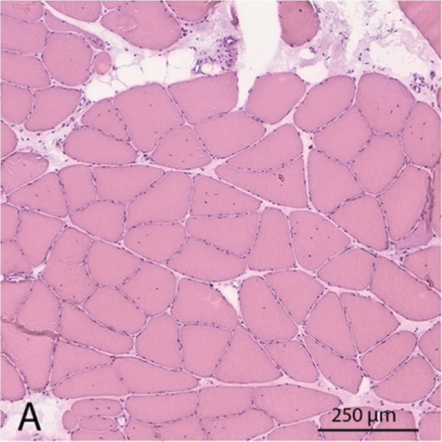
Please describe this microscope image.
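A cross-section of skeletal muscle shows large, closely packed polygonal pink fibers, many of which carry dark nuclei lying inside the fiber rather than at its edge. A few much smaller fibers are scattered among them, and pale fatty and loose connective tissue lies at the top.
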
